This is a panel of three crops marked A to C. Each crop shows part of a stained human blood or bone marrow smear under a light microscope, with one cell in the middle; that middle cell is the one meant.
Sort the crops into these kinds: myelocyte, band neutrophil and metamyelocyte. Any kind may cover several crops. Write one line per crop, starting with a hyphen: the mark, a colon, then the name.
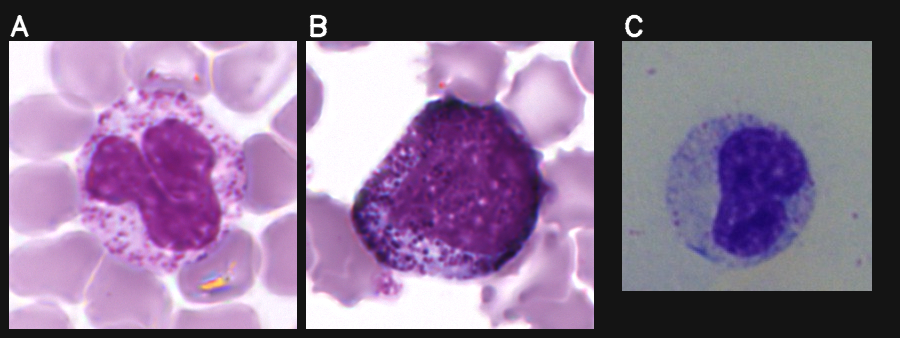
- A: band neutrophil
- B: myelocyte
- C: metamyelocyte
